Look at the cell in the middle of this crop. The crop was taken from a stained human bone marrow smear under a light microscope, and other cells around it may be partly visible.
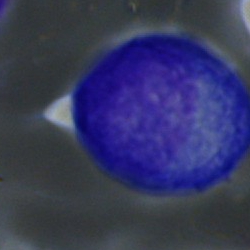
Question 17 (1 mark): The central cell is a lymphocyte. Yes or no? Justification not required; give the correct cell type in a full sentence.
No, the central cell isn't a lymphocyte, but a plasma cell.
